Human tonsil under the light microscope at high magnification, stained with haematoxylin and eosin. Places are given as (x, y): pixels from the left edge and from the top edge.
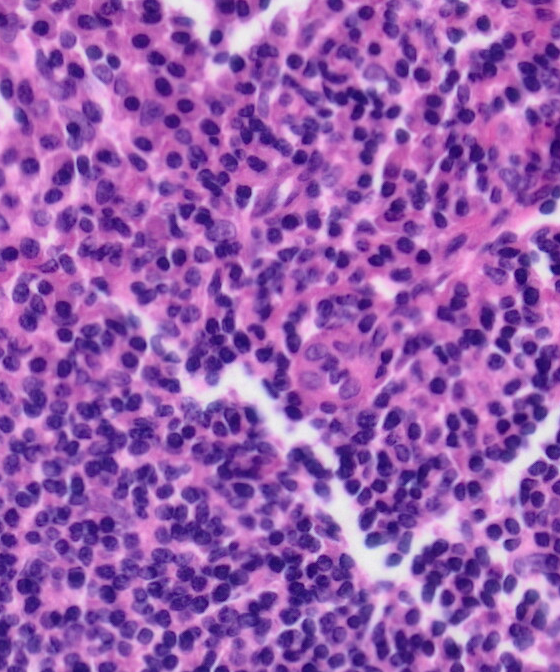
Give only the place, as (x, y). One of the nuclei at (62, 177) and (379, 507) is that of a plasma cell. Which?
(62, 177)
